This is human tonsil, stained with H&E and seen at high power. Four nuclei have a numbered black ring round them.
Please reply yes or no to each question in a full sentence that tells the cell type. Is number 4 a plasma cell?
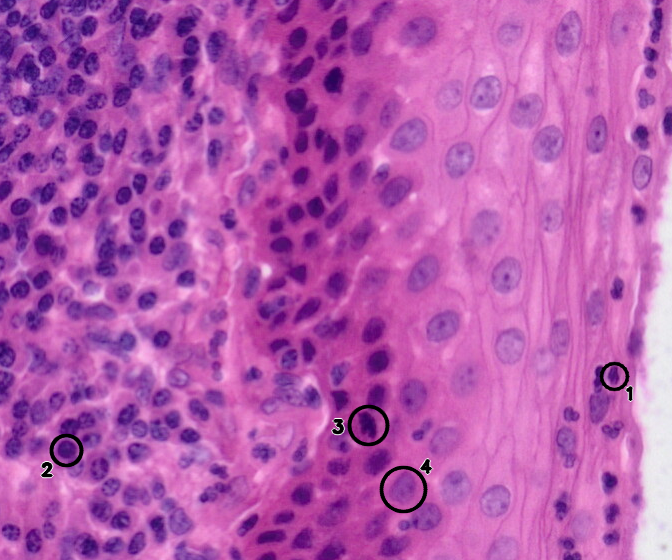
No, the cell labelled number 4 is not a plasma cell; it is a squamous epithelial cell.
